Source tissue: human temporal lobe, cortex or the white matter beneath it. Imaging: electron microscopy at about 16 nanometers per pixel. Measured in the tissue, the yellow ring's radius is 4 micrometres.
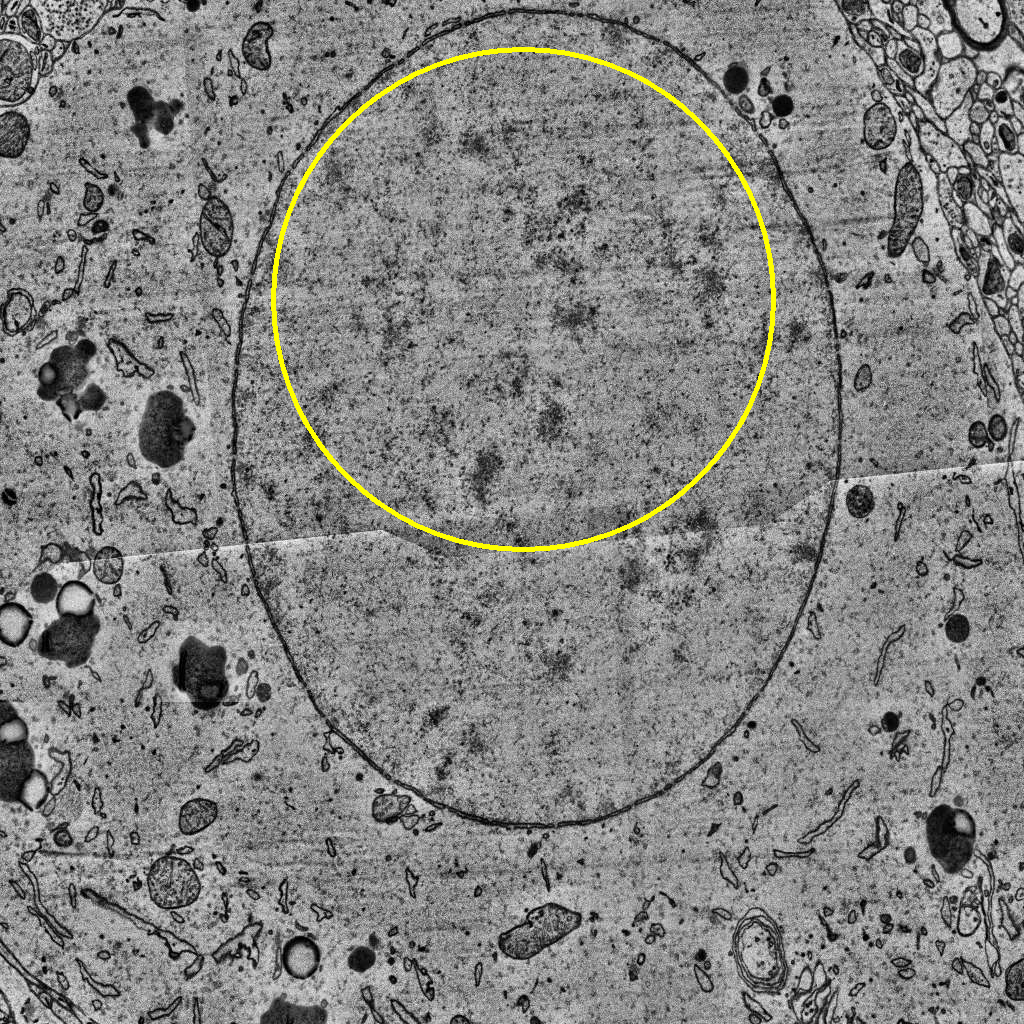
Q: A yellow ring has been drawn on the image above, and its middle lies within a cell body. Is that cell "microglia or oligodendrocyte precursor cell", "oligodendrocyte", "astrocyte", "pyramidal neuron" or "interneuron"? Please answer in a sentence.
The ring's middle lies in the cell body of a pyramidal neuron.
